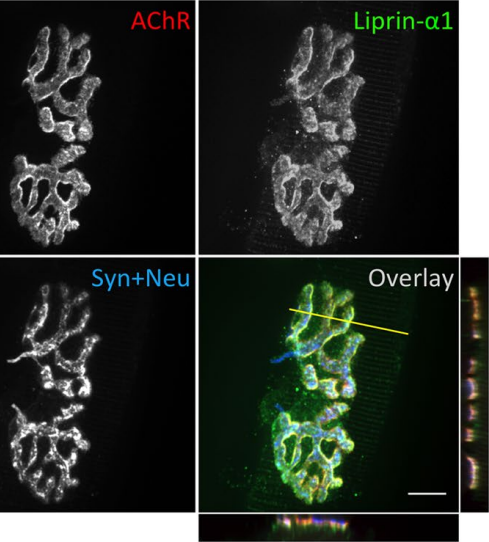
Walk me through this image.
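On the surface of a skeletal muscle fibre lie two branched, pretzel-like clusters of gutters. The green and red patterns lie almost exactly over each other, and a thinner blue pattern of branches runs along them; faint cross-striations show in the green over the rest of the fibre, and the side views show the labelled layers stacked at the fibre surface. These are neuromuscular junctions, with the nerve terminals lying on the postsynaptic machinery.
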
